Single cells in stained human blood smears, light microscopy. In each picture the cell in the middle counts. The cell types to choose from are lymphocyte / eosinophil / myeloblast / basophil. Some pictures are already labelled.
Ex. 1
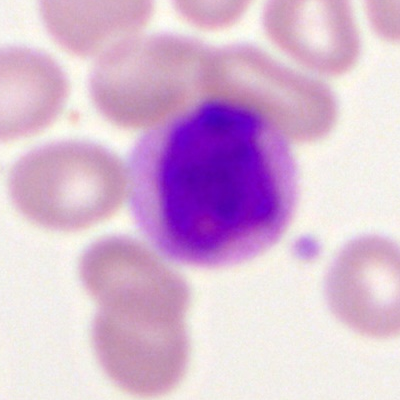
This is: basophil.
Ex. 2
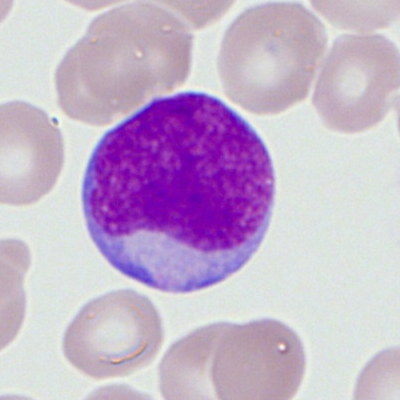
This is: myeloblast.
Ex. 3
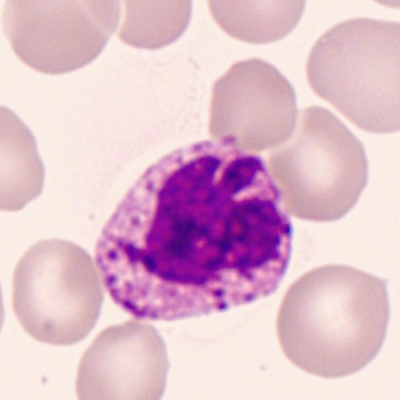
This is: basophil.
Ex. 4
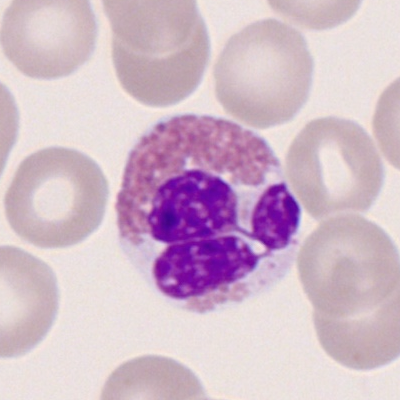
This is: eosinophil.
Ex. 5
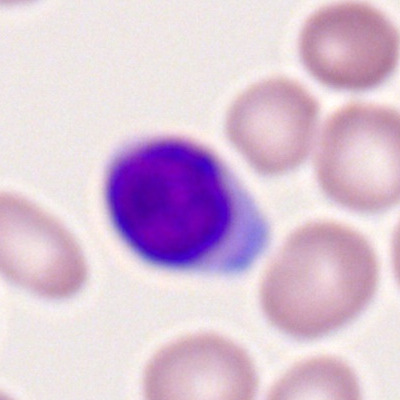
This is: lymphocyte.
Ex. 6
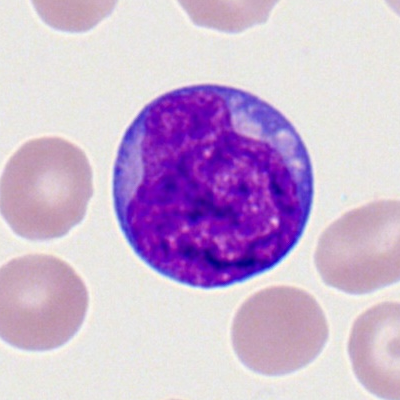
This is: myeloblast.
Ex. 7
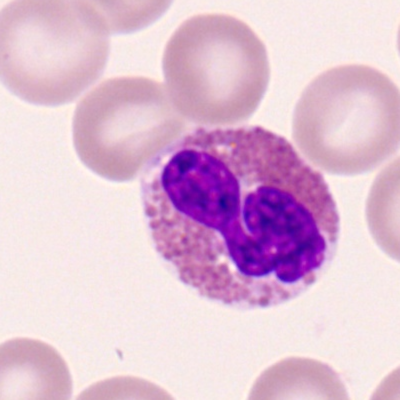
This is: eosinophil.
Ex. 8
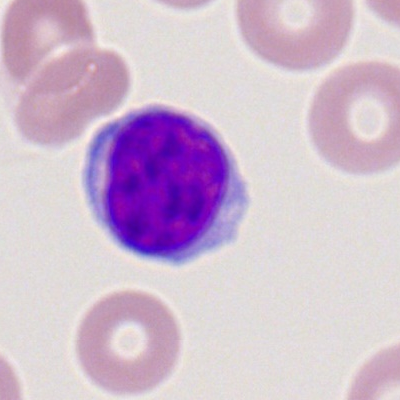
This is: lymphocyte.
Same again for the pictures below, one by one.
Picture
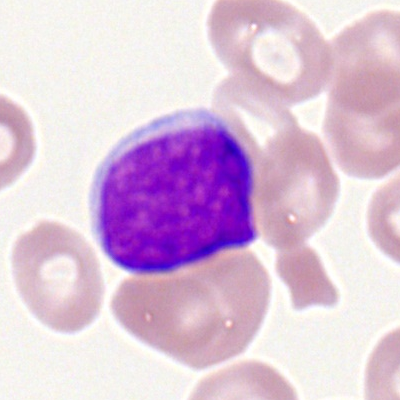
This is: lymphocyte.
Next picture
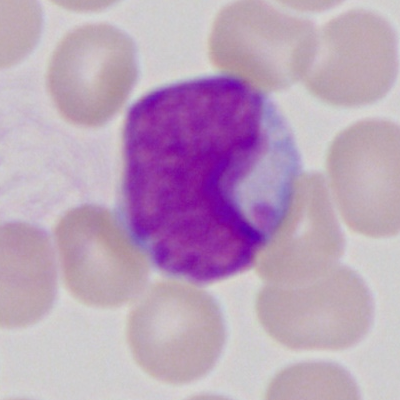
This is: myeloblast.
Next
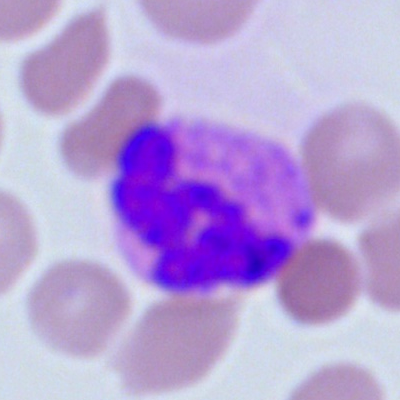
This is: basophil.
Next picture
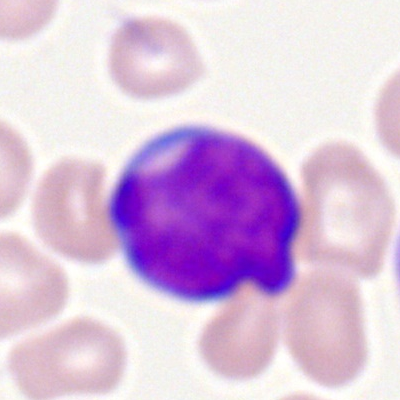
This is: myeloblast.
